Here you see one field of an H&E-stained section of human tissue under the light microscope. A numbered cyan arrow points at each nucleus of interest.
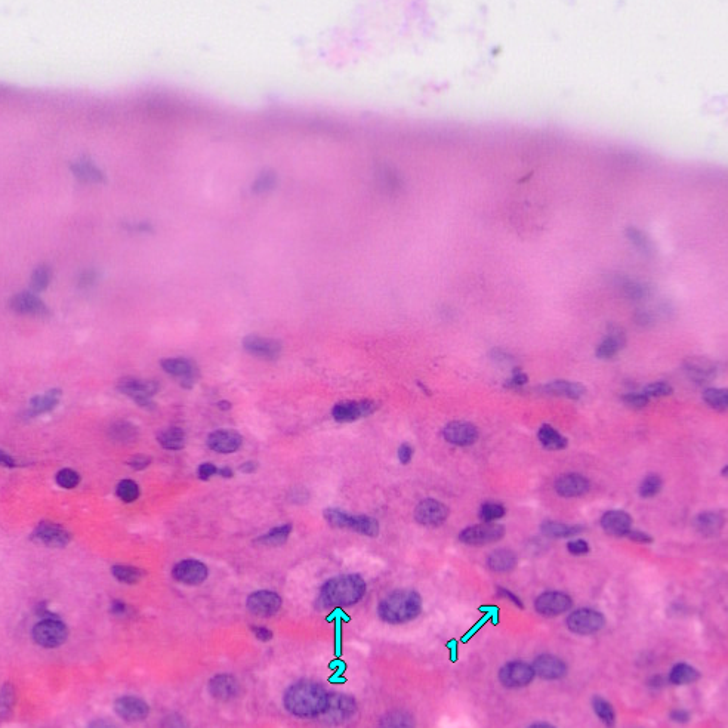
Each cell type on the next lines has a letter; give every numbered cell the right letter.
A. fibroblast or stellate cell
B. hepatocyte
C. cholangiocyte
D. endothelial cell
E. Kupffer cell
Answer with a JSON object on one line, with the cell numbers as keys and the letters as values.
{"1": "D", "2": "B"}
